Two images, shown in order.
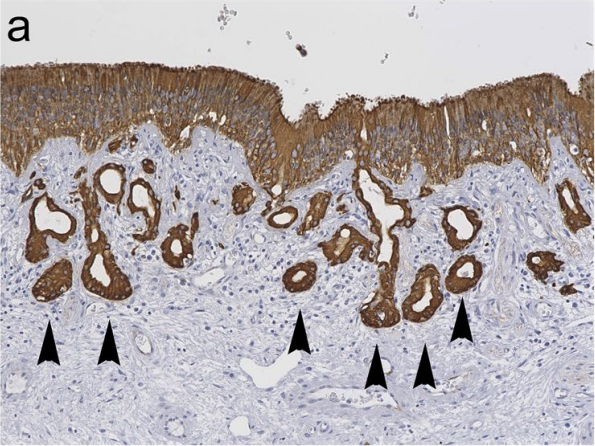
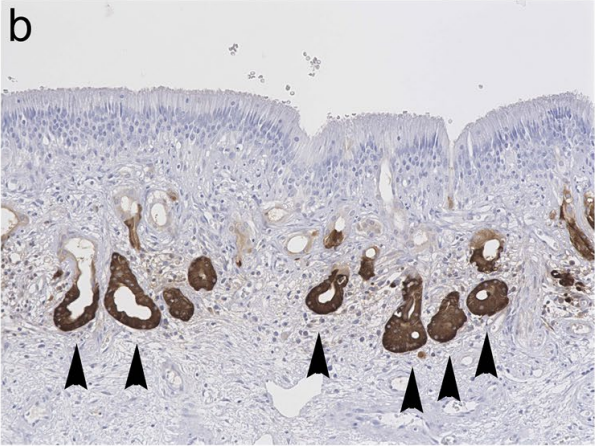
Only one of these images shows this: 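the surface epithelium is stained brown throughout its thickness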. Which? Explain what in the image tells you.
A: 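Second image: the surface epithelium at the top is pale blue with no brown. First image: the surface epithelium at the top is brown from surface to base.
Answer: the first image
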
